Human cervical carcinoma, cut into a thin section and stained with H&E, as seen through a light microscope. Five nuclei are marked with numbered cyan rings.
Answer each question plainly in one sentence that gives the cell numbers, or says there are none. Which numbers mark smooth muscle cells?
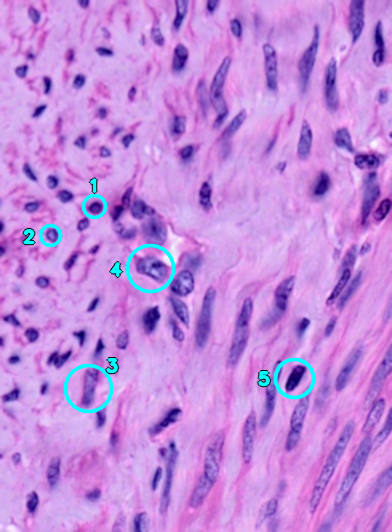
So, the cells with numbers 1, 2 and 3 are smooth muscle cells.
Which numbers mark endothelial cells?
Of all the numbered cells, only cell 4 is an endothelial cell.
